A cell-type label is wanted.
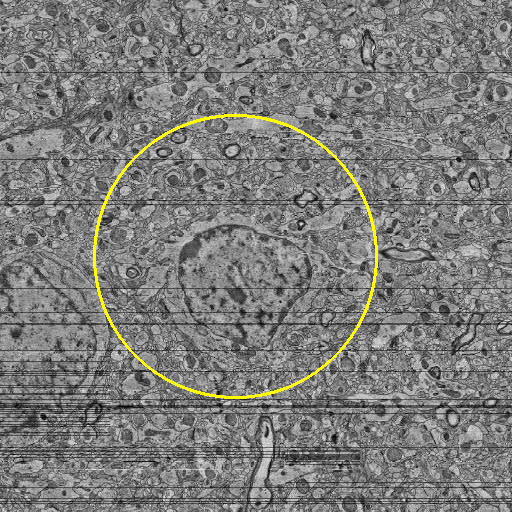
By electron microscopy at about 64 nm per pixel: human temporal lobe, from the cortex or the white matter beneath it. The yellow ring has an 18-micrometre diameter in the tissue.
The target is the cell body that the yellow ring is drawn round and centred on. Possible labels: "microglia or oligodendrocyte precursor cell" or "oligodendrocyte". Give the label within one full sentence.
Of the labels offered, the cell in the middle of the yellow ring is a microglial cell or oligodendrocyte precursor cell.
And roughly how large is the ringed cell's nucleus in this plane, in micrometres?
About 8 micrometres across in this plane, for the nucleus.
